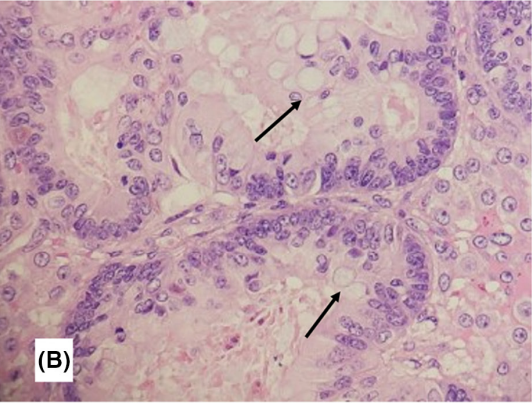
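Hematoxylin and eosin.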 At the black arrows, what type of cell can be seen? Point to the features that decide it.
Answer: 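The arrows point to rounded clear vacuolated cells within the epithelial lining. Pale mucin-like cytoplasm contrasts with neighbouring columnar cells.
Answer: goblet cells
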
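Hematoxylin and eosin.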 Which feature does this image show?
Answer: Stratified columnar epithelial lining.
